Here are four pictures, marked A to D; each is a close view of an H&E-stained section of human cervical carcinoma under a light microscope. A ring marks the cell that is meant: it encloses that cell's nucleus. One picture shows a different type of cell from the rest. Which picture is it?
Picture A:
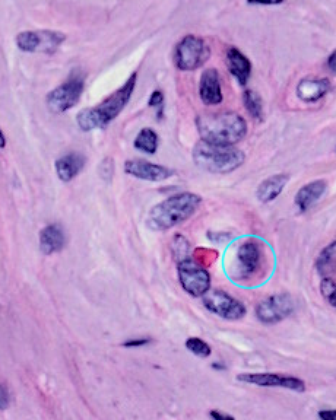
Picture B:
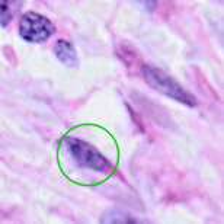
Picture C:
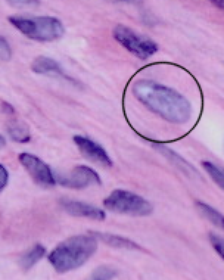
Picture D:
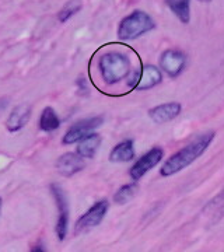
B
